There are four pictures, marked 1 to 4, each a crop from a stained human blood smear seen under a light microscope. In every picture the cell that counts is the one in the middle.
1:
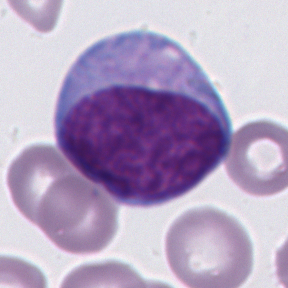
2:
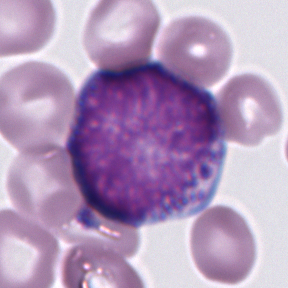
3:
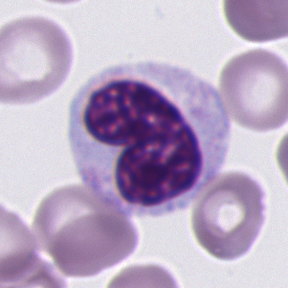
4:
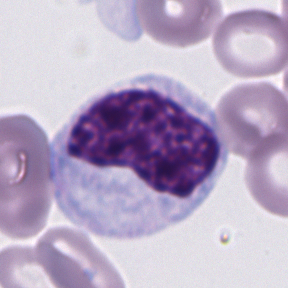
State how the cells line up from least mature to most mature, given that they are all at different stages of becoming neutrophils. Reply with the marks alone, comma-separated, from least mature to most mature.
2, 1, 4, 3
